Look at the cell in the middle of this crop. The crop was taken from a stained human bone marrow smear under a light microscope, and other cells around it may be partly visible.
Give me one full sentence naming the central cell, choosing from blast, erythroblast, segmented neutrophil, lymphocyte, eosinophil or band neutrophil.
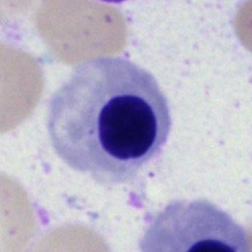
Classified as an erythroblast is the cell in the middle of this crop.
